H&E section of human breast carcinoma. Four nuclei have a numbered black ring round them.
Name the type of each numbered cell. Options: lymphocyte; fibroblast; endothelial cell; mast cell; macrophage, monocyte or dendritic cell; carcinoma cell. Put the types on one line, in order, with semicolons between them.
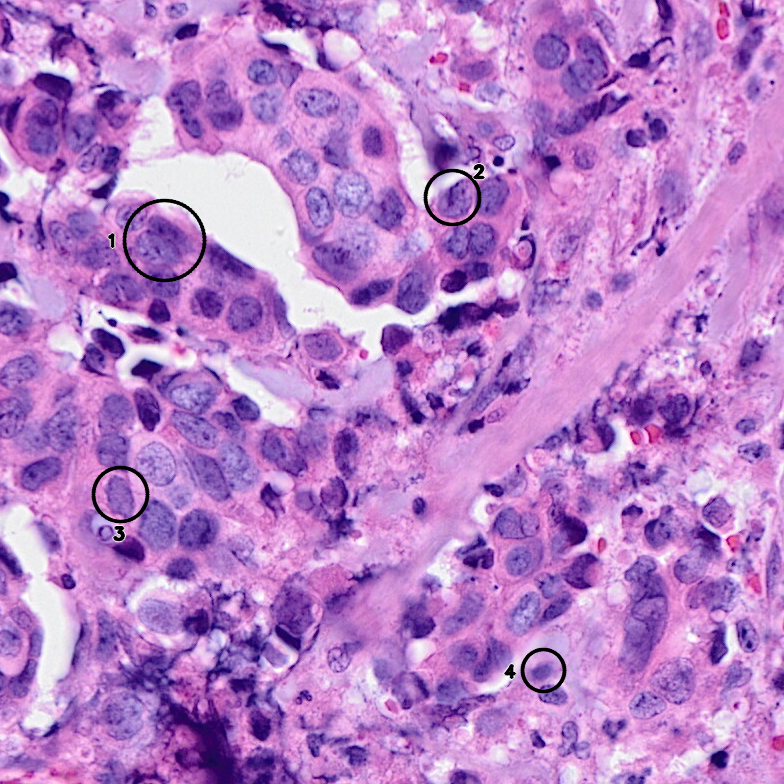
carcinoma cell; carcinoma cell; carcinoma cell; mast cell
